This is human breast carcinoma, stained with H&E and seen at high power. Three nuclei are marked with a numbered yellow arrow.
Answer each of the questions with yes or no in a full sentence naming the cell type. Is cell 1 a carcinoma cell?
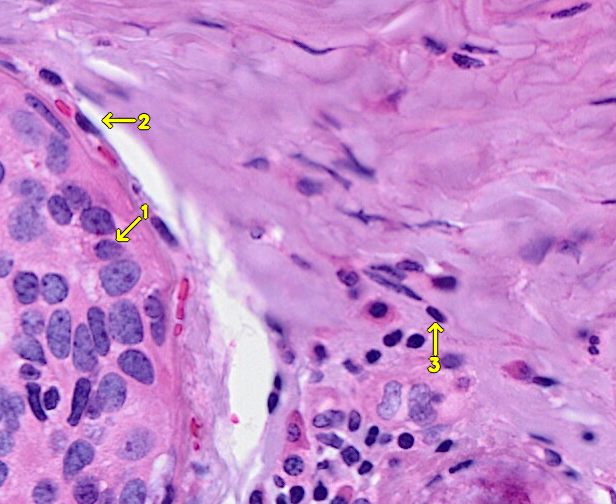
Yes, the cell carrying number 1 is a carcinoma cell.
